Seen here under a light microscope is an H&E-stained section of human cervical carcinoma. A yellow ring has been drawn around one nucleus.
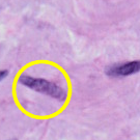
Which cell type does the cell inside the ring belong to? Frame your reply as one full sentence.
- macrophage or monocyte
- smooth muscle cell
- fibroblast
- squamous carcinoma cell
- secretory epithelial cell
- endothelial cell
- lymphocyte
By its classification, the cell inside the ring is a fibroblast.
